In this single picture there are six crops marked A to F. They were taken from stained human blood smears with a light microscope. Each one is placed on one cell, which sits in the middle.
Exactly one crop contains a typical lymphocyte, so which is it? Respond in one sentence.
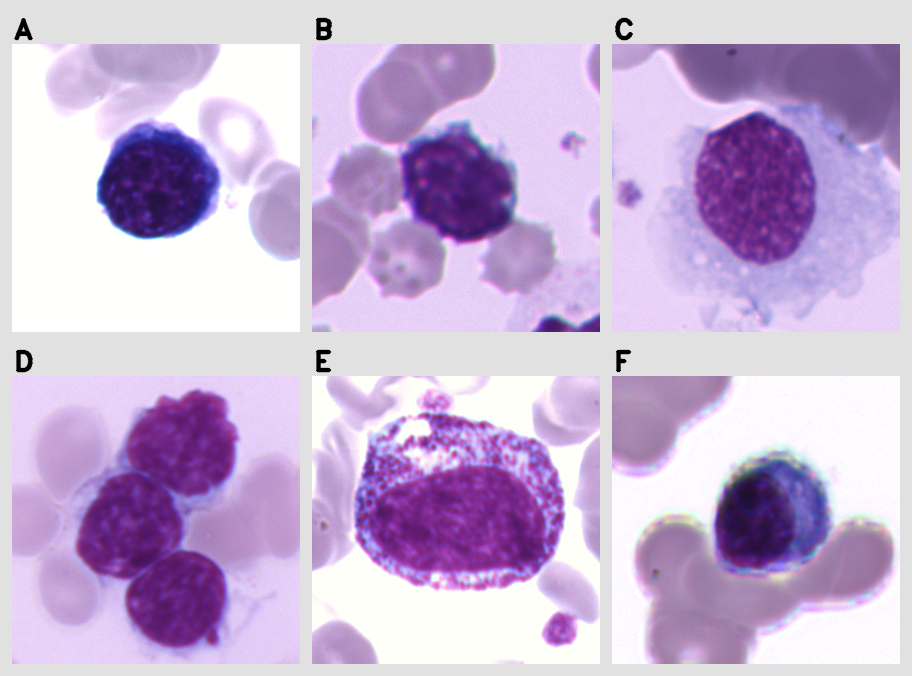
It is crop B, not any other, that shows a typical lymphocyte.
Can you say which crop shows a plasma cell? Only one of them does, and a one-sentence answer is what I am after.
In the set of crops, crop F is the one that contains a plasma cell.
